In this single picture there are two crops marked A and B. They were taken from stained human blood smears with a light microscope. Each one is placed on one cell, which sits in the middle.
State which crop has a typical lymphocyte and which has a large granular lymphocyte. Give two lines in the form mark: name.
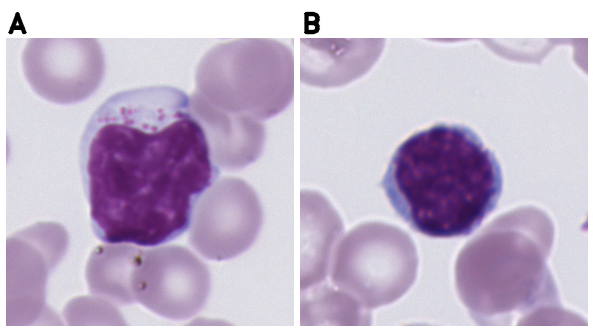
A: large granular lymphocyte
B: typical lymphocyte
